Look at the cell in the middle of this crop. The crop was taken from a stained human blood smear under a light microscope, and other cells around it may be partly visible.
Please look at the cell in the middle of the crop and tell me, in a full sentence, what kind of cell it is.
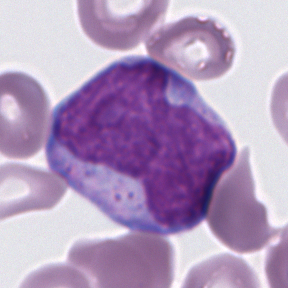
Present in the middle of the crop is an atypical promyelocyte.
